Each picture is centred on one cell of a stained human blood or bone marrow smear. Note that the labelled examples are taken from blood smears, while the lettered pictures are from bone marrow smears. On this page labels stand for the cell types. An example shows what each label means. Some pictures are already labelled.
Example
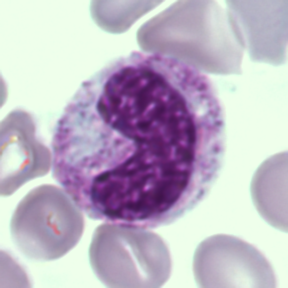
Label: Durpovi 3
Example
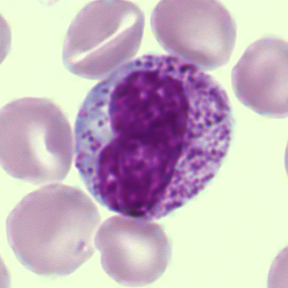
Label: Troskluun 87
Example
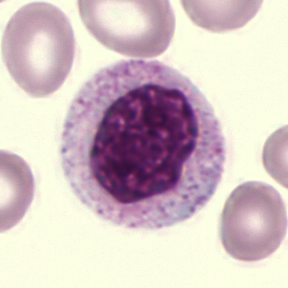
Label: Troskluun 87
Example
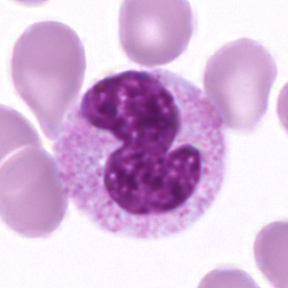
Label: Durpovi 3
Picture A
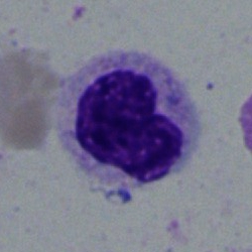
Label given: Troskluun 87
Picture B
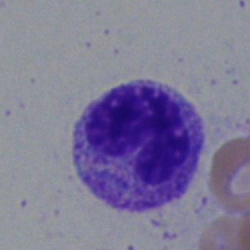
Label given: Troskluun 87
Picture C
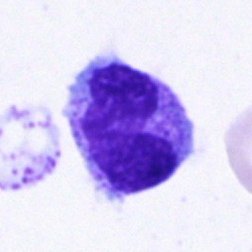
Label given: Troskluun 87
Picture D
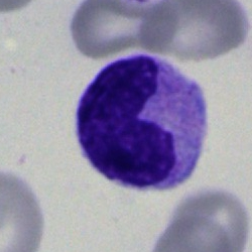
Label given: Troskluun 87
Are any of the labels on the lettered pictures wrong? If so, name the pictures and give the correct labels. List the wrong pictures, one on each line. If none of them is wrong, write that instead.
B: not Troskluun 87 but Durpovi 3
